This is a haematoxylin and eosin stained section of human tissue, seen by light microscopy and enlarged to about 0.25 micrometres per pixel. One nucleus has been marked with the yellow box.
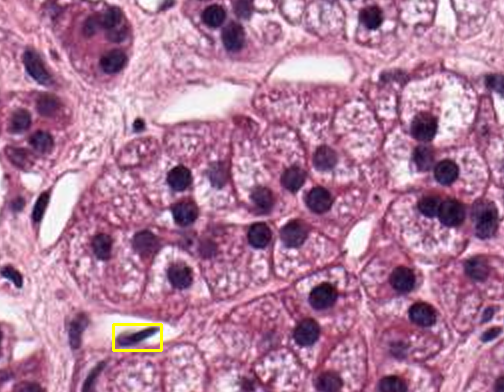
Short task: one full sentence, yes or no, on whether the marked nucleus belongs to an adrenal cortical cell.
No, a supporting cell is the one to which the marked nucleus belongs, not an adrenal cortical cell.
